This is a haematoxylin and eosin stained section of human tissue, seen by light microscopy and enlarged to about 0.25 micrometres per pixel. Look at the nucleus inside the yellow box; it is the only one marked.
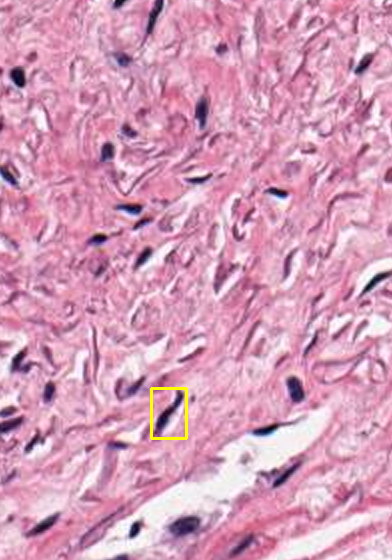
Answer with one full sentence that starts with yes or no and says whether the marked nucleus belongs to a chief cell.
No, the marked nucleus resides in a supporting cell, not in a chief cell.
